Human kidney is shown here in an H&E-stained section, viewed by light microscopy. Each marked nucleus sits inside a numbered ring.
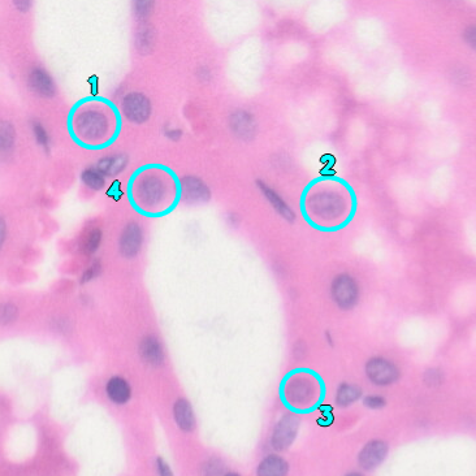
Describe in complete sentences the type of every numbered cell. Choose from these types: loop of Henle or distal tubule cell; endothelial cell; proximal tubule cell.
Cell 1 is a loop of Henle or distal tubule cell, cell 2 is a proximal tubule cell, cell 3 is a loop of Henle or distal tubule cell and cell 4 is a loop of Henle or distal tubule cell.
